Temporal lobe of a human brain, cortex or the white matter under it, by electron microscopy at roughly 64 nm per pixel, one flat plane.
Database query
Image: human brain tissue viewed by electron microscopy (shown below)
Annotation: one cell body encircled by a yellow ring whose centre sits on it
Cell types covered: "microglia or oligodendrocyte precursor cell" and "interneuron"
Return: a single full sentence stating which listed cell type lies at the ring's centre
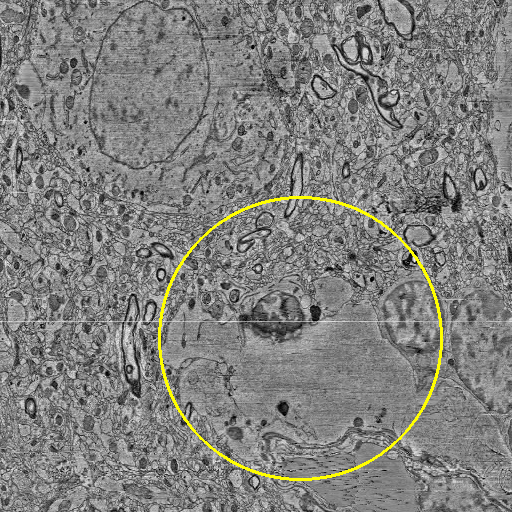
In the image, the cell lying at the ring's centre is a microglial cell or oligodendrocyte precursor cell.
